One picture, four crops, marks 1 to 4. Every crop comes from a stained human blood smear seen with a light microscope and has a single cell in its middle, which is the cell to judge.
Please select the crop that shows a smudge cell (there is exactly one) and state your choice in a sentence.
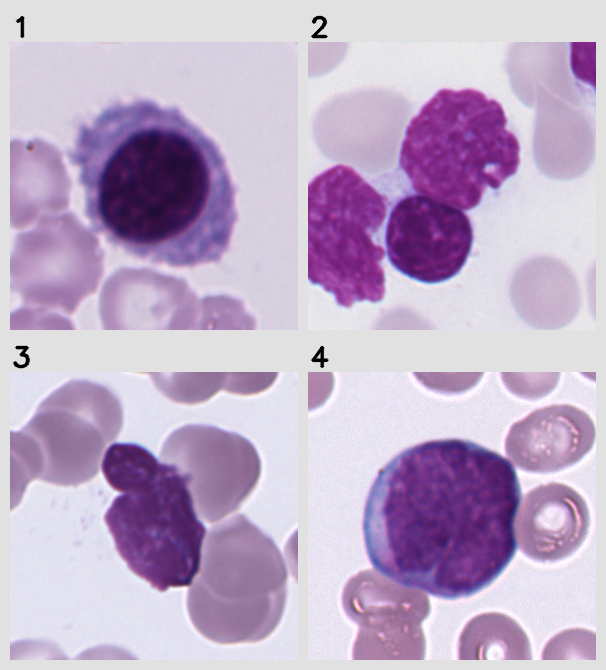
Crop 3 shows a smudge cell, and no other crop does.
